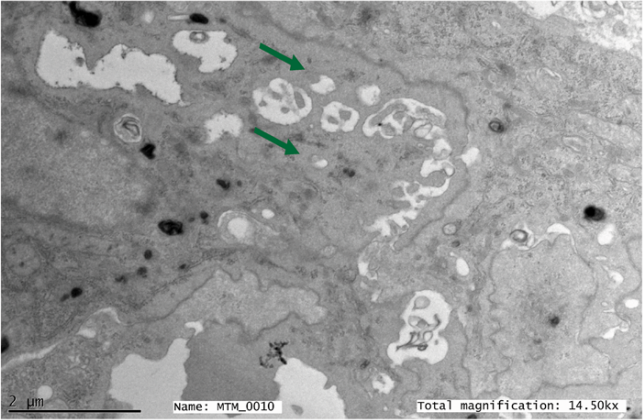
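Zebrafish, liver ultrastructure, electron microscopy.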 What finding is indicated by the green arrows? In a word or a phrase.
Fragmented parts of the canaliculus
